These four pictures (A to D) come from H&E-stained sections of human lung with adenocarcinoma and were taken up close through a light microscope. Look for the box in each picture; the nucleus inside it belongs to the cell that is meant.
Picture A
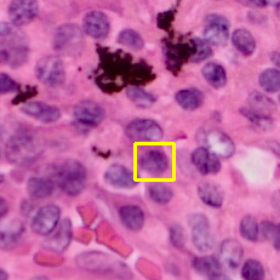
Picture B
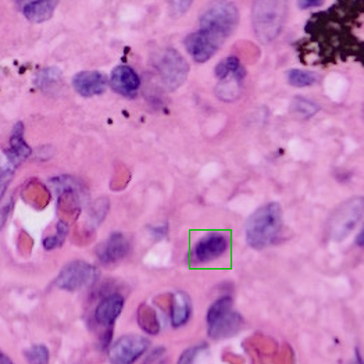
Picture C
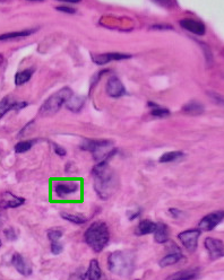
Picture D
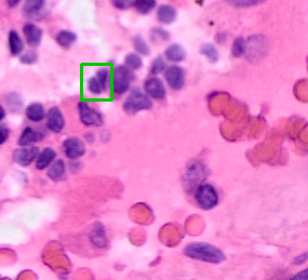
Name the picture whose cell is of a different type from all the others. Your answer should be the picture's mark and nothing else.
D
